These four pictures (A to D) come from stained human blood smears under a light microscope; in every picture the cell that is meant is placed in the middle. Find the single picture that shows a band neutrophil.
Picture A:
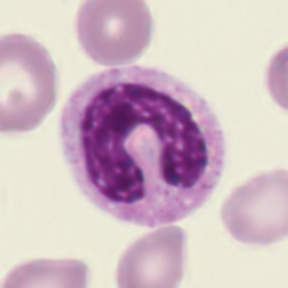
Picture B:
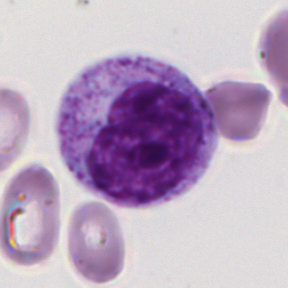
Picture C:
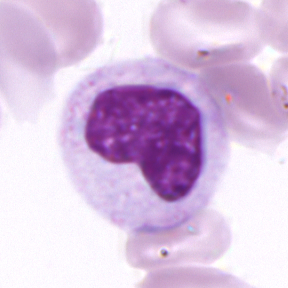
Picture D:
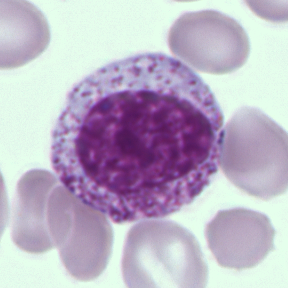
A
